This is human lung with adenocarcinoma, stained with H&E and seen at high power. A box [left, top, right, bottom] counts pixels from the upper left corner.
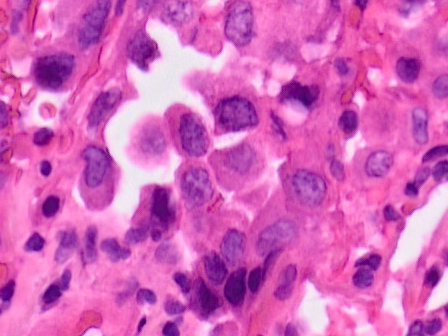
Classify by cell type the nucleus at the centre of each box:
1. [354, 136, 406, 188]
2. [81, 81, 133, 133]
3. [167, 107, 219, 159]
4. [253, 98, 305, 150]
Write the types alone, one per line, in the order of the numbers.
macrophage or monocyte
carcinoma cell
carcinoma cell
carcinoma cell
